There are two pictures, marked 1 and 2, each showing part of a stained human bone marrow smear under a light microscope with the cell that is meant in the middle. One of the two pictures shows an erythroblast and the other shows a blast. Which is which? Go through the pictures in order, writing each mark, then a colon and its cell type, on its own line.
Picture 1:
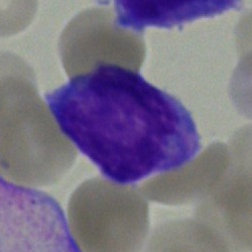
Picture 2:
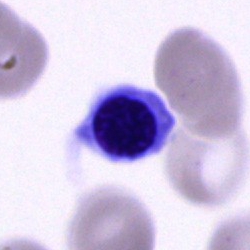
1: blast
2: erythroblast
